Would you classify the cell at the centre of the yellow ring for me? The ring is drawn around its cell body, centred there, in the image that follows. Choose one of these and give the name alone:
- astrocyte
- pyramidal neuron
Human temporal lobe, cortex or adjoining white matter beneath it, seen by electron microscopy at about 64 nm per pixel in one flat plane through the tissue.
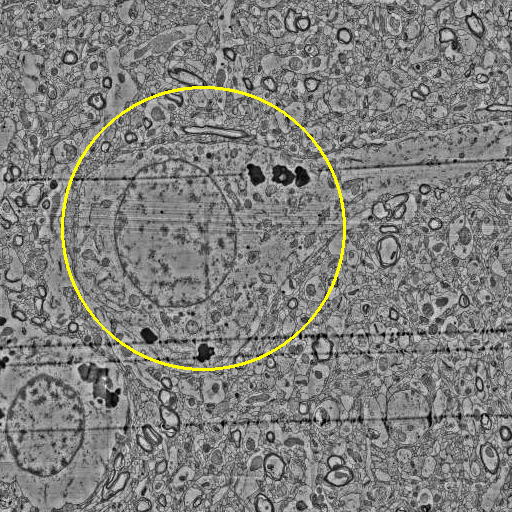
pyramidal neuron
